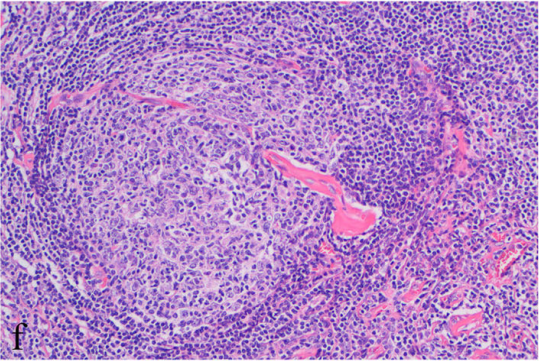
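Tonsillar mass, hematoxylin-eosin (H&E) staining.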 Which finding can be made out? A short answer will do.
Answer: Lollipop appearance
